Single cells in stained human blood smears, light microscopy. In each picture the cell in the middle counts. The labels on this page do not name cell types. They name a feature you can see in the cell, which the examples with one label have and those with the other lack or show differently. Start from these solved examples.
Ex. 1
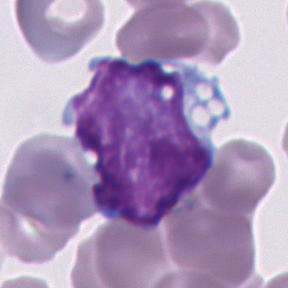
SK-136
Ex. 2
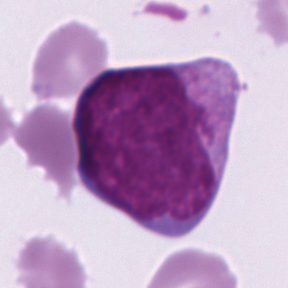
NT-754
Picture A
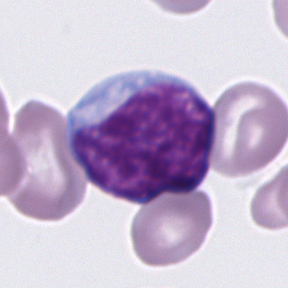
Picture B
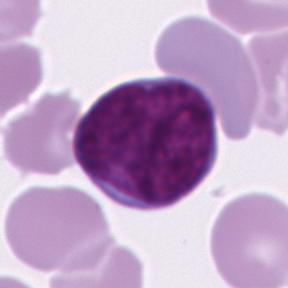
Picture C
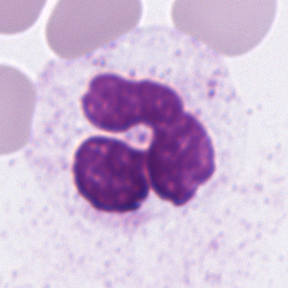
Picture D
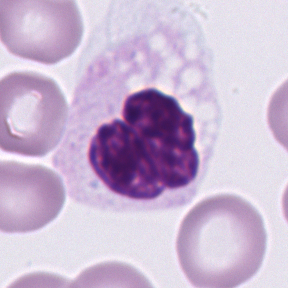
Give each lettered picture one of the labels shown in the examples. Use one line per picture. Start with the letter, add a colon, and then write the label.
A: NT-754
B: NT-754
C: NT-754
D: SK-136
